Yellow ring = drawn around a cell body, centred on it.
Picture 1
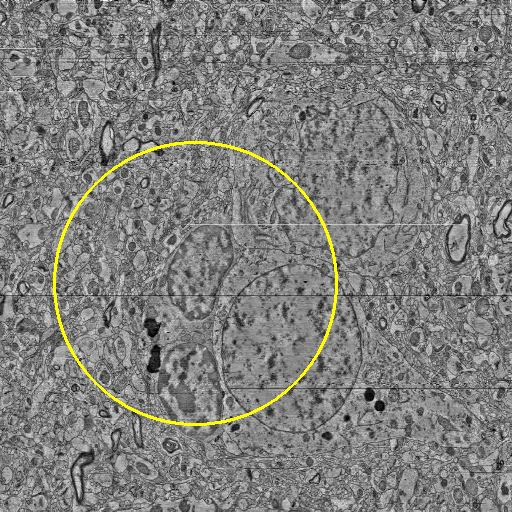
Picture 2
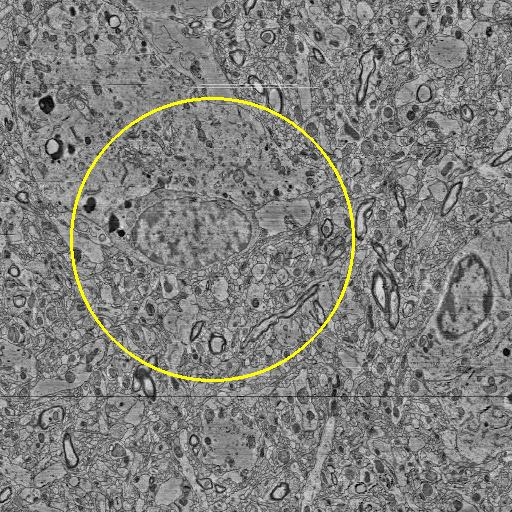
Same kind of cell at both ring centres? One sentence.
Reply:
Yes, they are the same kind of cell.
